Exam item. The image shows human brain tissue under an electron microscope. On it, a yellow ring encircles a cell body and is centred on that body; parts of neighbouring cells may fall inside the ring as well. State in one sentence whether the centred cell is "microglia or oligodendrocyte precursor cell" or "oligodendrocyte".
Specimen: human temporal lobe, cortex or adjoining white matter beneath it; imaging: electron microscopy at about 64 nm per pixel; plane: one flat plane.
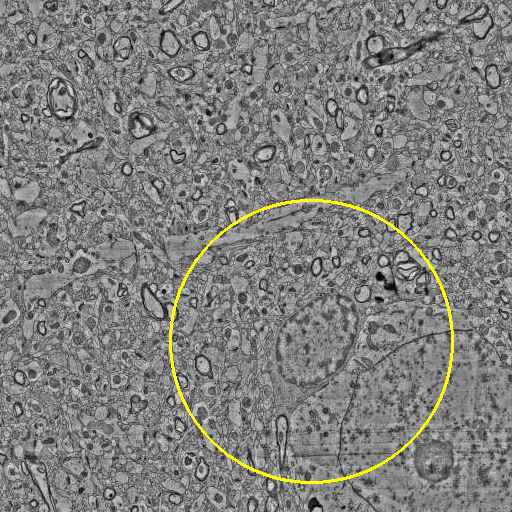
The cell body centred in the ring is an oligodendrocyte.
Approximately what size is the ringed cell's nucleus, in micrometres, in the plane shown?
In this plane the nucleus is about 7 micrometres by 5.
